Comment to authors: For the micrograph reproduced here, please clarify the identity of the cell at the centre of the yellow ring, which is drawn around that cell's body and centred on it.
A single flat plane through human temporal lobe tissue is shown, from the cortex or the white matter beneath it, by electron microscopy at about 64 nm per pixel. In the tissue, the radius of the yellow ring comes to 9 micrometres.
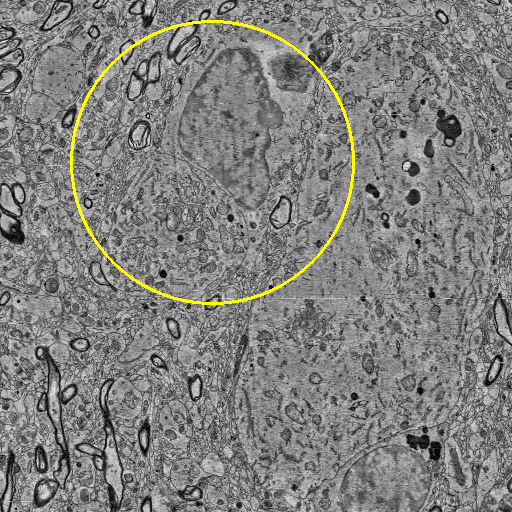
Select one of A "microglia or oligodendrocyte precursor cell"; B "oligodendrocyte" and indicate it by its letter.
A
